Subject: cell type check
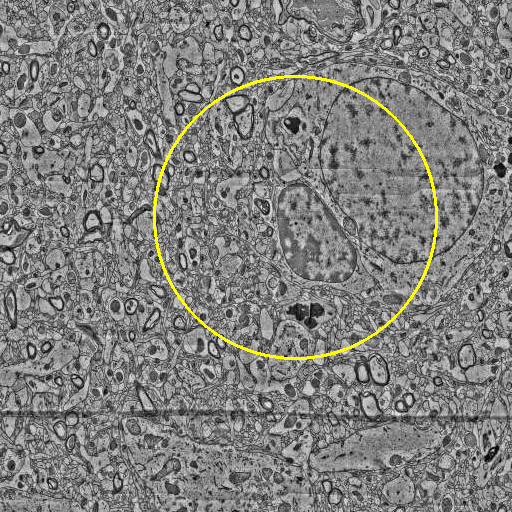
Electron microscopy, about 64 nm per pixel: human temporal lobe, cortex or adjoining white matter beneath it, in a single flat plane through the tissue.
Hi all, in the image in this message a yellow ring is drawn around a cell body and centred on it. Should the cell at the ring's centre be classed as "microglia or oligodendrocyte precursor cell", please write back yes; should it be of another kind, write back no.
yes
